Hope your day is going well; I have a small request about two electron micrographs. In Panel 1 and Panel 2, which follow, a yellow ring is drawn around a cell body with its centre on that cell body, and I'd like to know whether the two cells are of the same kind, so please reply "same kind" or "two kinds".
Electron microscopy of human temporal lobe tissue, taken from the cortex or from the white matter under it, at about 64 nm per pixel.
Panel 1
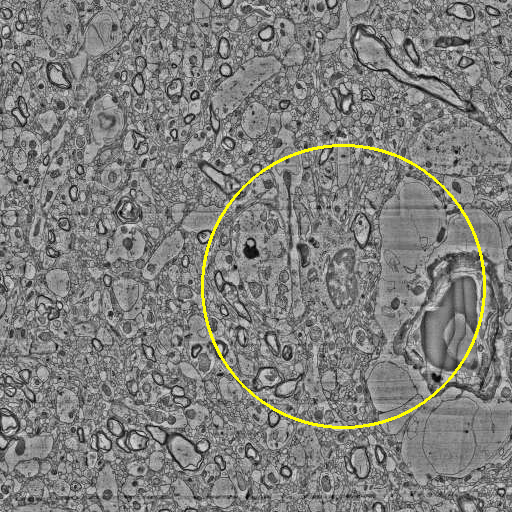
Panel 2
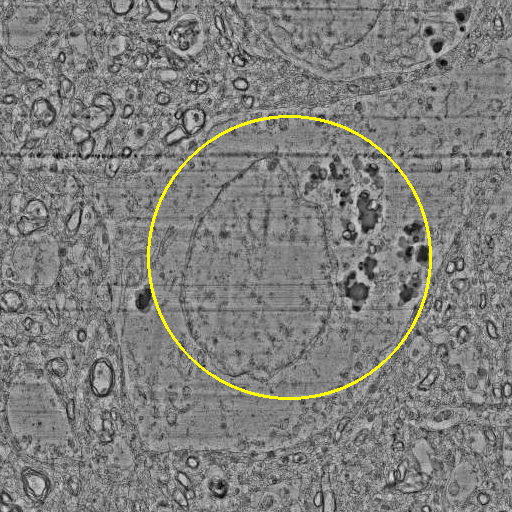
two kinds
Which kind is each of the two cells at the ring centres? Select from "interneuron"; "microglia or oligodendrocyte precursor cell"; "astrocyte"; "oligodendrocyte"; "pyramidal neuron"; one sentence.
The cell at the centre of the ring is an oligodendrocyte in the first picture and a pyramidal neuron in the second.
